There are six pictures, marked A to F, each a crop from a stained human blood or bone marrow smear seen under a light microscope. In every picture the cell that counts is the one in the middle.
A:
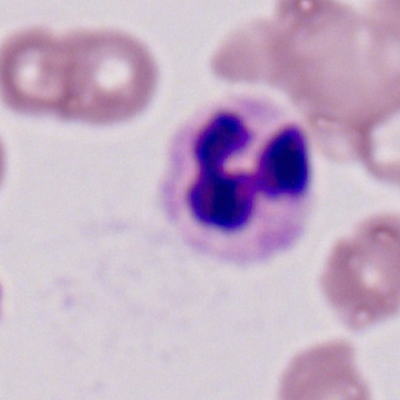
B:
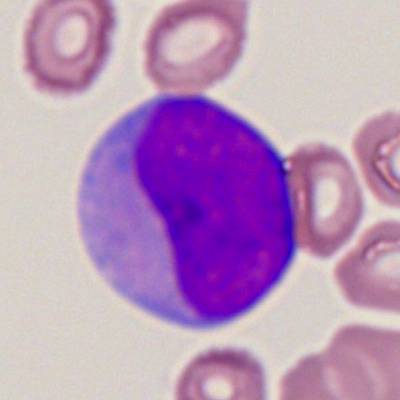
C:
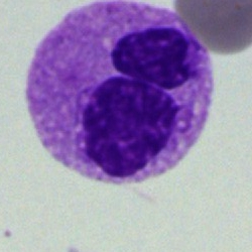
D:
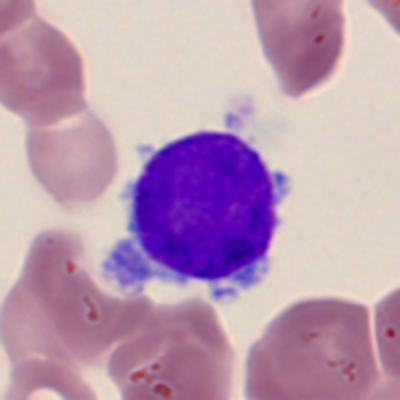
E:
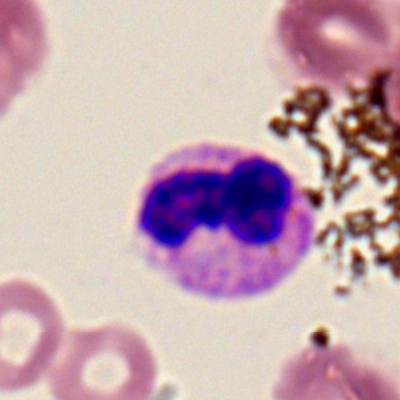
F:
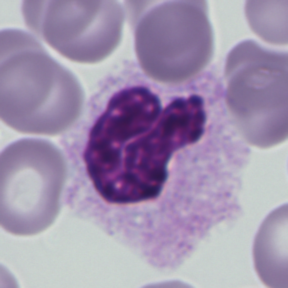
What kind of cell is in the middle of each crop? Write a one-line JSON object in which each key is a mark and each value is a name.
{"A": "segmented neutrophil", "B": "blast", "C": "segmented neutrophil", "D": "lymphocyte", "E": "segmented neutrophil", "F": "segmented neutrophil"}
